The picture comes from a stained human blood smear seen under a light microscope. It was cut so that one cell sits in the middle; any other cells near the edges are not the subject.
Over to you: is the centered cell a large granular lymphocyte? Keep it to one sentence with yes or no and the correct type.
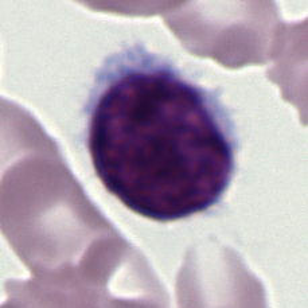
No, that is not a large granular lymphocyte; the middle cell is a hairy cell.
